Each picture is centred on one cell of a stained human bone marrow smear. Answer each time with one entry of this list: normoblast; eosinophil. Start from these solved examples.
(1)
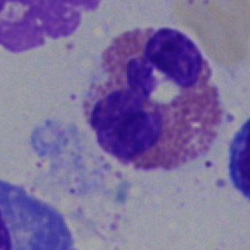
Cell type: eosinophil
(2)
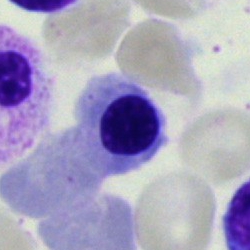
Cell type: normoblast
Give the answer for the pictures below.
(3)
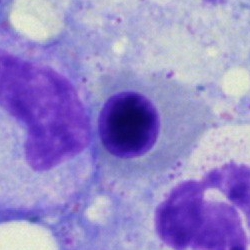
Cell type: normoblast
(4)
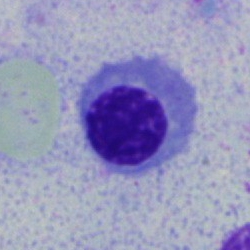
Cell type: normoblast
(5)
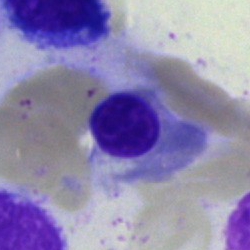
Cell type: normoblast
